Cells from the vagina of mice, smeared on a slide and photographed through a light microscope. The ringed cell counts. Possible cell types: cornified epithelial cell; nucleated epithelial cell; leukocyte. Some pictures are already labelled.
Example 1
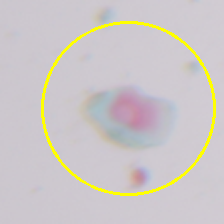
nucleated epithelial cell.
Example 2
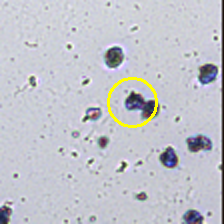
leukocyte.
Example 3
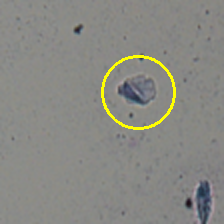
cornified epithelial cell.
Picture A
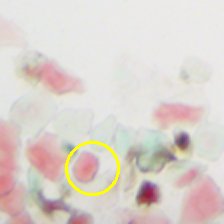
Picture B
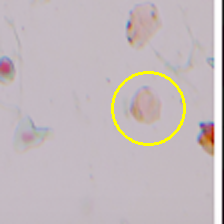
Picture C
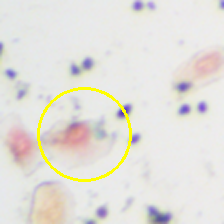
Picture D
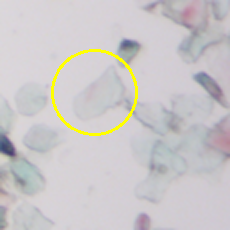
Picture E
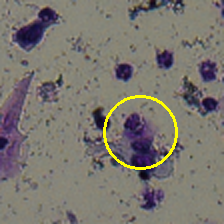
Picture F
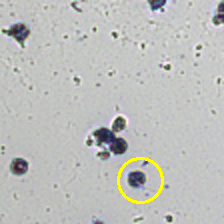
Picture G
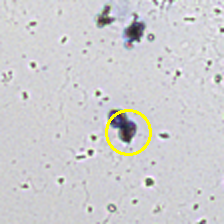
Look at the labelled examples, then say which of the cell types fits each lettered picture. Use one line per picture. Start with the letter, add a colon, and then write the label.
A: cornified epithelial cell.
B: cornified epithelial cell.
C: nucleated epithelial cell.
D: cornified epithelial cell.
E: nucleated epithelial cell.
F: leukocyte.
G: leukocyte.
